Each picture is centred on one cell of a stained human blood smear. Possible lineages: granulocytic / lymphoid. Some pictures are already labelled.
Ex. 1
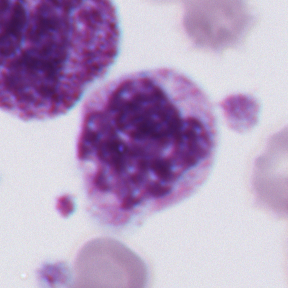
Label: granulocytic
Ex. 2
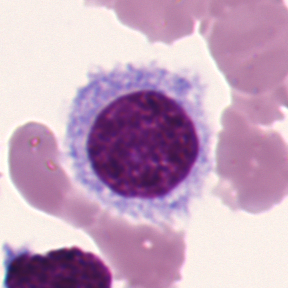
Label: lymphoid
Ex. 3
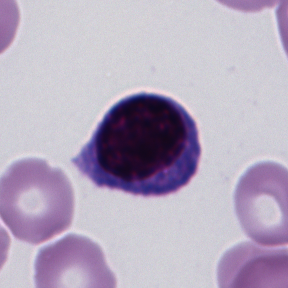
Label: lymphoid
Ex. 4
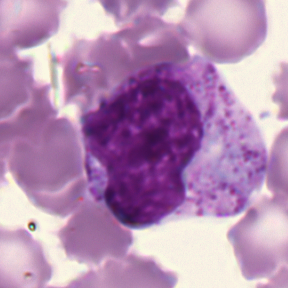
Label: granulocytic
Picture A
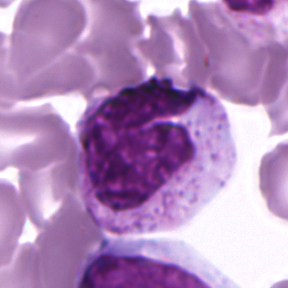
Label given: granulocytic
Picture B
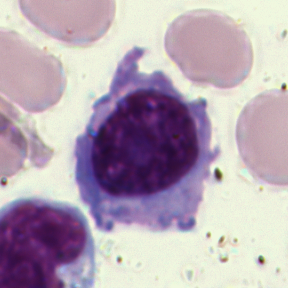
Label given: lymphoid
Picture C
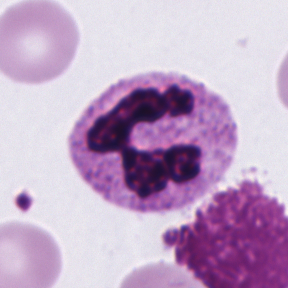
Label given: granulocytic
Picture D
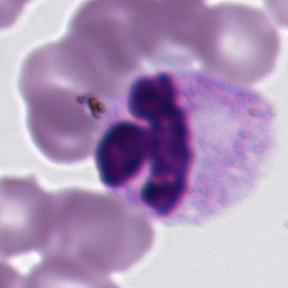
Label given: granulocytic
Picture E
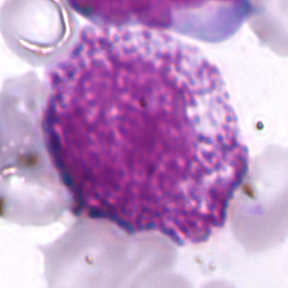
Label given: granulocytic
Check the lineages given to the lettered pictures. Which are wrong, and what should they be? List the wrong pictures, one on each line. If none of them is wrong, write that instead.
Every label is right.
